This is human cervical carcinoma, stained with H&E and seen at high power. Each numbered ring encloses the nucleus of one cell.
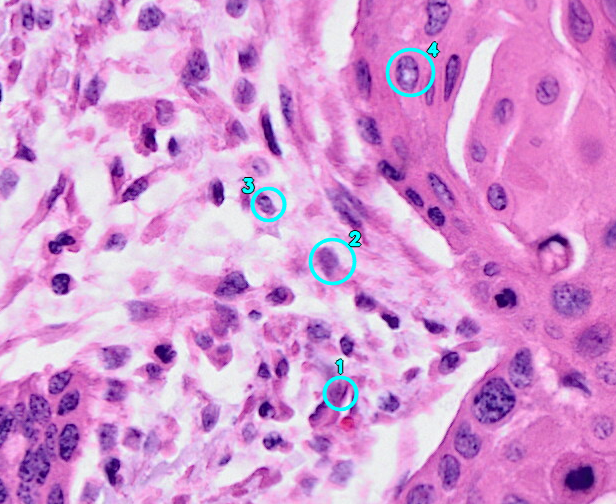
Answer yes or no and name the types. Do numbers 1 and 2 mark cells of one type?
No, cell 2 is a fibroblast, and cell 1 is an endothelial cell.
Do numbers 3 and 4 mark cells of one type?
No, that is not right: cell 3 is a fibroblast and cell 4 is a squamous carcinoma cell.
